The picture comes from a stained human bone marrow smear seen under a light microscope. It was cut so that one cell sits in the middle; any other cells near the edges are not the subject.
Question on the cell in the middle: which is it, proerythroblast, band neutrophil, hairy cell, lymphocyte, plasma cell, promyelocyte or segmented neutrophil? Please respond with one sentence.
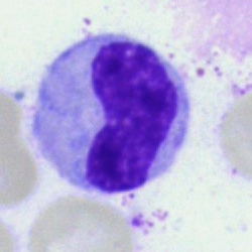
The identification for the central cell is a band neutrophil.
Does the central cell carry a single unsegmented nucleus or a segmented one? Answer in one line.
Round, oval or kidney-shaped, the nucleus is one compact mass.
